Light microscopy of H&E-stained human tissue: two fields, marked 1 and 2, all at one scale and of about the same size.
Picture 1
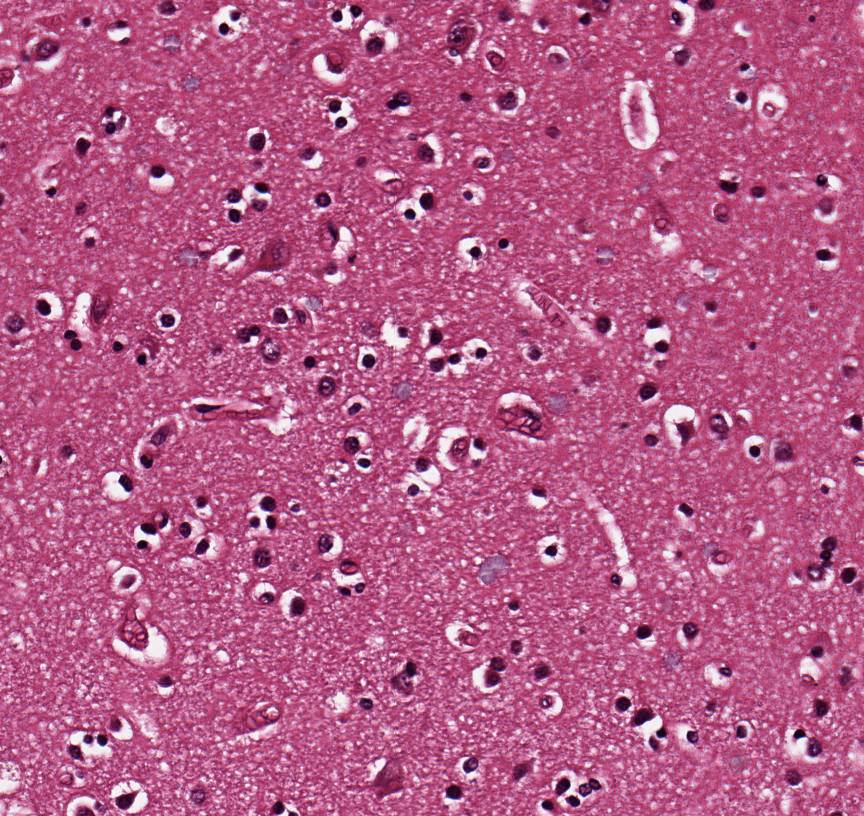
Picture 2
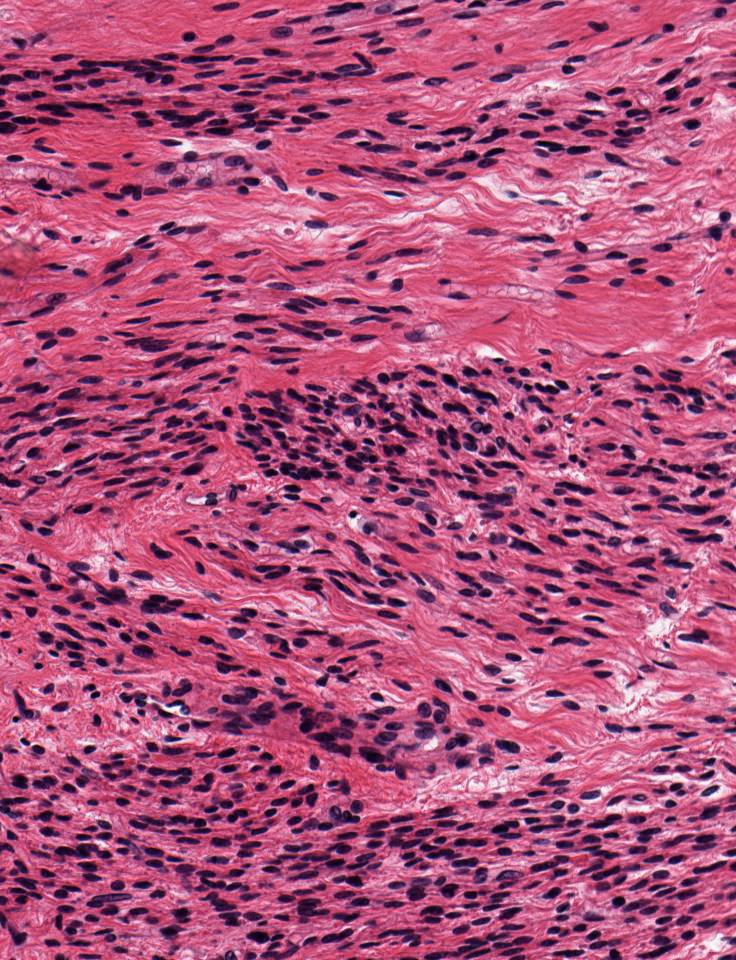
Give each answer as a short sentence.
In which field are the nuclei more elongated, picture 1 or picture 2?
It is picture 2 whose nuclei are the more elongated.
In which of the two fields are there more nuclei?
The larger number of nuclei is in picture 2.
